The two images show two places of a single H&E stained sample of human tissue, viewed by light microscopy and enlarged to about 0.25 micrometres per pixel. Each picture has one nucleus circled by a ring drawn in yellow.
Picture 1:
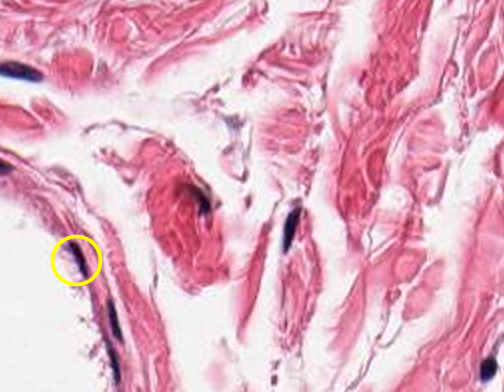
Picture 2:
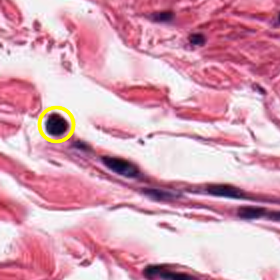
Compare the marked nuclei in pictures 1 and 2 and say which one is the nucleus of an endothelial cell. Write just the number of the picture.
1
